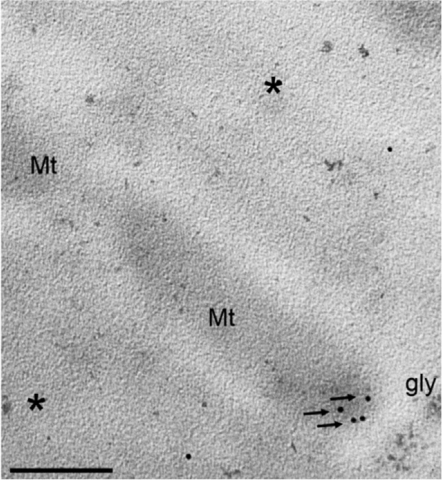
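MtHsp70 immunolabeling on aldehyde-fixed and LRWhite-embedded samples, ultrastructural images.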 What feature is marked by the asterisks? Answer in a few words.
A: myofibrils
